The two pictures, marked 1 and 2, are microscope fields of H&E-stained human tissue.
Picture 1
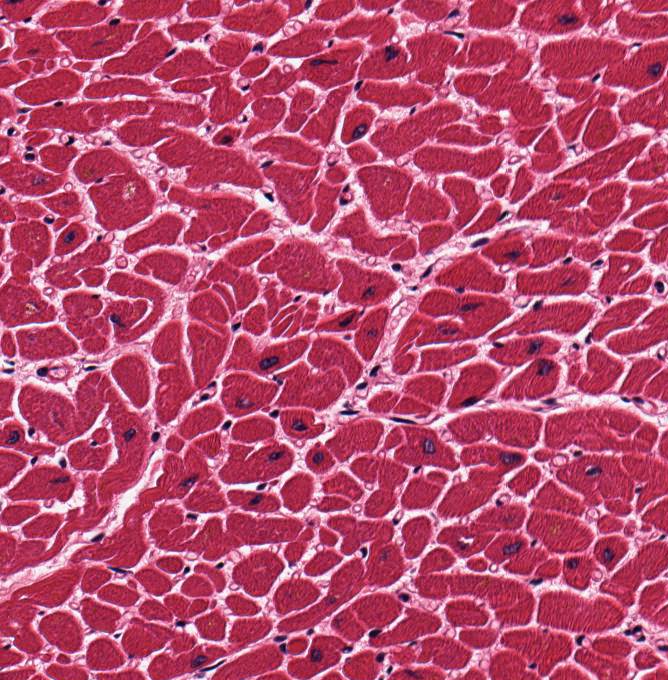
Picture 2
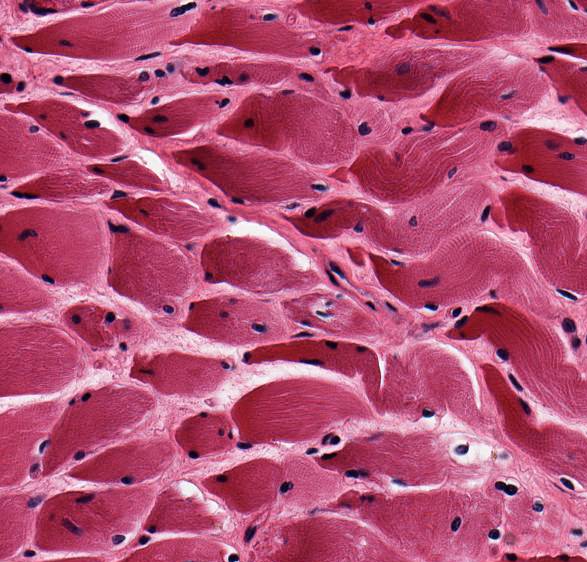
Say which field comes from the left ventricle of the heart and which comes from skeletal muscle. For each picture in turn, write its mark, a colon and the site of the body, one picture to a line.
1: left ventricle of the heart
2: skeletal muscle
